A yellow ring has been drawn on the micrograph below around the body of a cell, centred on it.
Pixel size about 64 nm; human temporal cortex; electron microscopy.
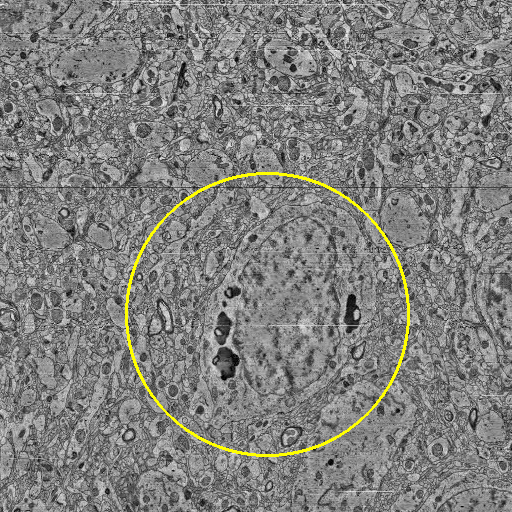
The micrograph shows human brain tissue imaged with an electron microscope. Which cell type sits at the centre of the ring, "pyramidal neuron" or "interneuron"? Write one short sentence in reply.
The cell sitting at the centre of the ring is an interneuron.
